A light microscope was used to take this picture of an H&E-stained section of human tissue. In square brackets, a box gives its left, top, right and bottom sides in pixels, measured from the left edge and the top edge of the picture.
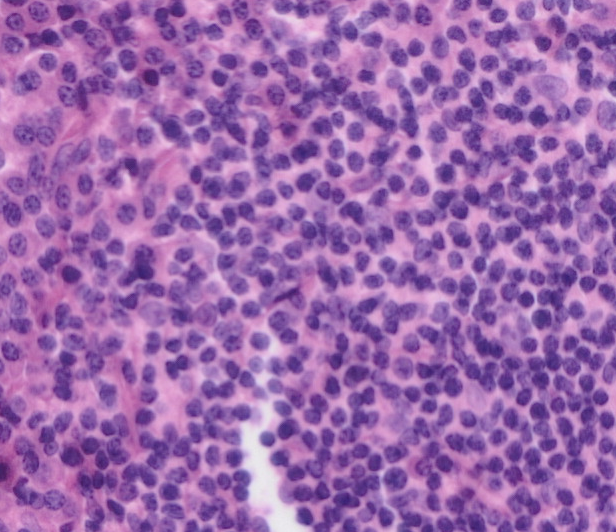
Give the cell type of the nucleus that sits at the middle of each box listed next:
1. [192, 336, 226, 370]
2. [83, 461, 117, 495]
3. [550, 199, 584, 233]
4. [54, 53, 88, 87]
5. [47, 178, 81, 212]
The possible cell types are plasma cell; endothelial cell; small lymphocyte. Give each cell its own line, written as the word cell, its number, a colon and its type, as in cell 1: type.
cell 1: small lymphocyte
cell 2: small lymphocyte
cell 3: small lymphocyte
cell 4: plasma cell
cell 5: plasma cell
